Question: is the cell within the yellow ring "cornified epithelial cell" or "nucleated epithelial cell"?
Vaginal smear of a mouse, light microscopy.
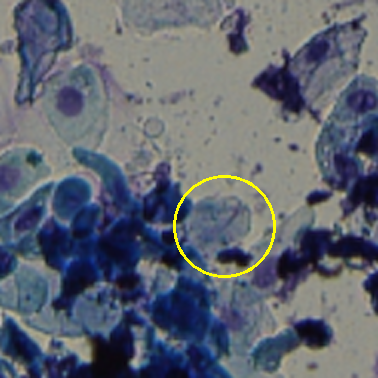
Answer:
cornified epithelial cell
